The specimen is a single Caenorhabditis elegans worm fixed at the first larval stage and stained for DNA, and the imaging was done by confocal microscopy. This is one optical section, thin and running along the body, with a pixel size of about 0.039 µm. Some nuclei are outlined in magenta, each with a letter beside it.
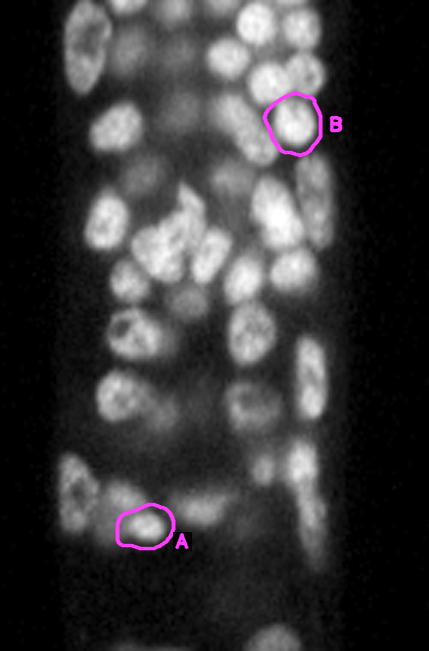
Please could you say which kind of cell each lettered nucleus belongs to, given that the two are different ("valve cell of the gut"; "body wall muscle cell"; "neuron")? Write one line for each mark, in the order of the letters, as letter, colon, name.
A: valve cell of the gut
B: neuron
